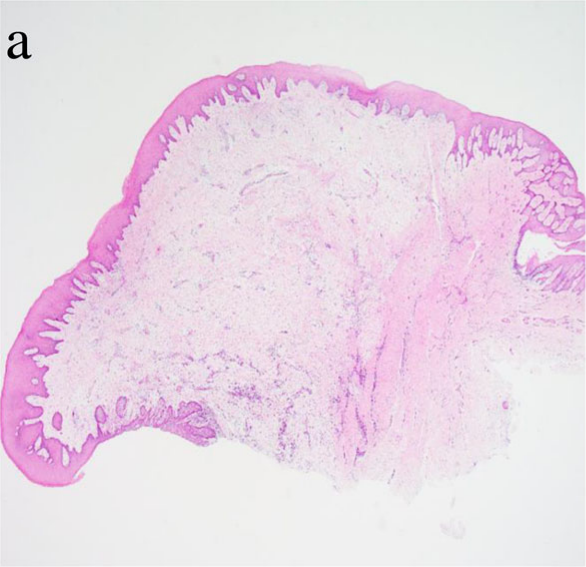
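At low power a dome-shaped, polypoid lesion is covered by a pink stratified squamous epithelium with elongated rete ridges along its surface. Beneath it a broad, pale, loosely textured stroma fills most of the lesion, with denser pink fibrous tissue and a few dark cellular streaks toward its base.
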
